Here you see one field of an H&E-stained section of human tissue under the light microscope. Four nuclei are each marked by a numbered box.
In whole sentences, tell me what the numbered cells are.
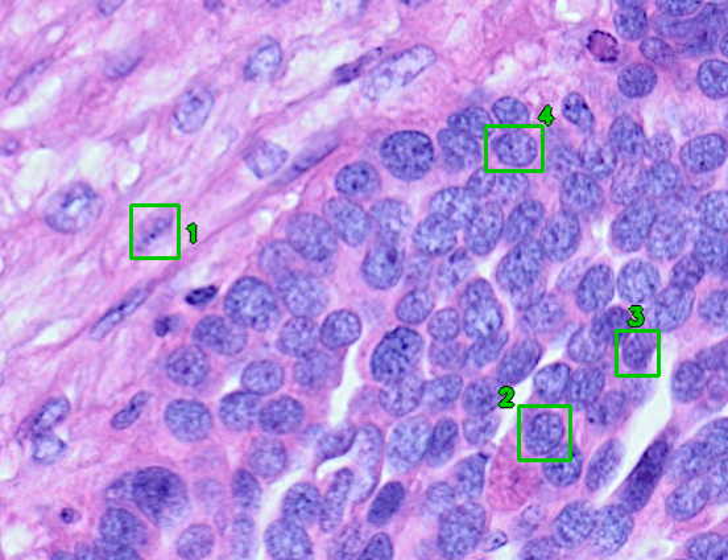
Cell 1 is a fibroblast, cell 2 is a carcinoma cell, cell 3 is a carcinoma cell and cell 4 is a carcinoma cell.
